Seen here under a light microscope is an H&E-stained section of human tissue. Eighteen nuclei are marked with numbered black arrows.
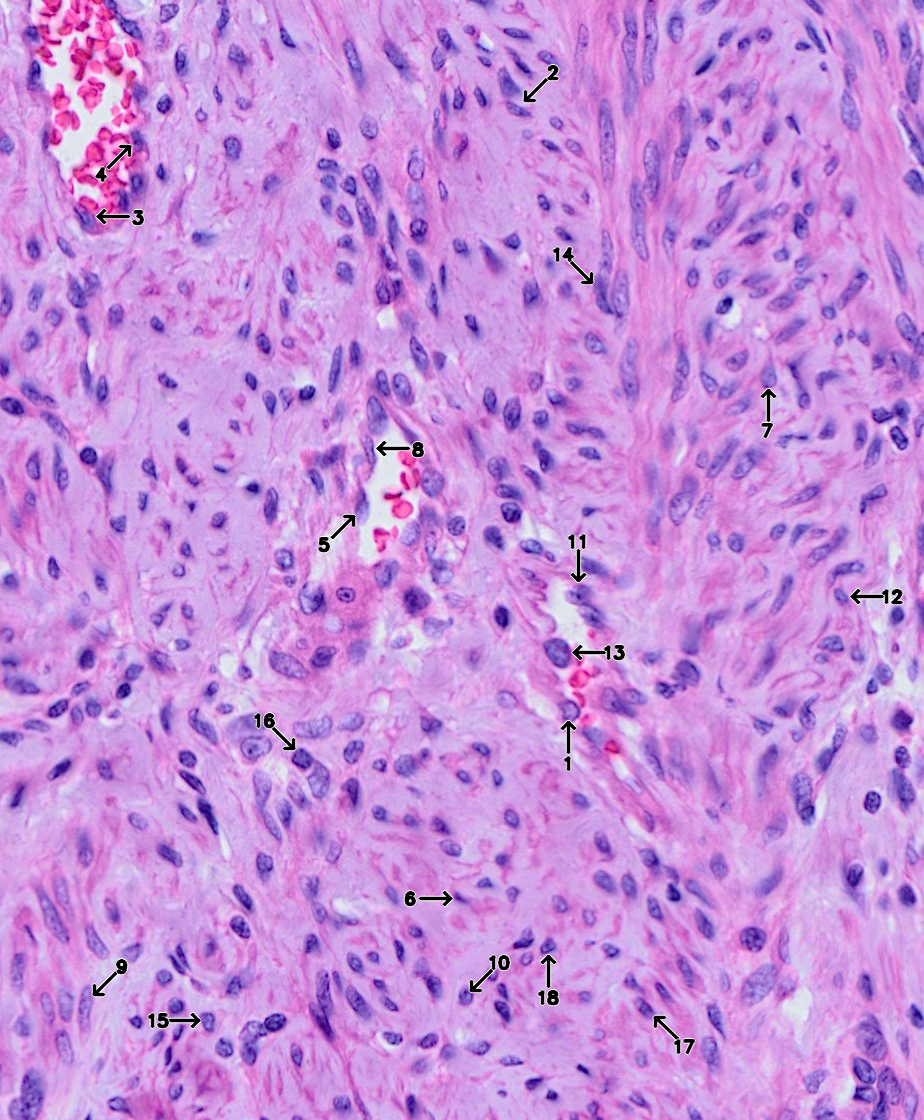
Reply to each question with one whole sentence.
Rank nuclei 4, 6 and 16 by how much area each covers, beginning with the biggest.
From largest to smallest, the order is 16, 4, 6.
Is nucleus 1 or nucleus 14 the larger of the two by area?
At about 1.5 times the area of nucleus 1, nucleus 14 is the larger of the two.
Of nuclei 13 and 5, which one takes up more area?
At about 2 times the area of nucleus 5, nucleus 13 is the larger of the two.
